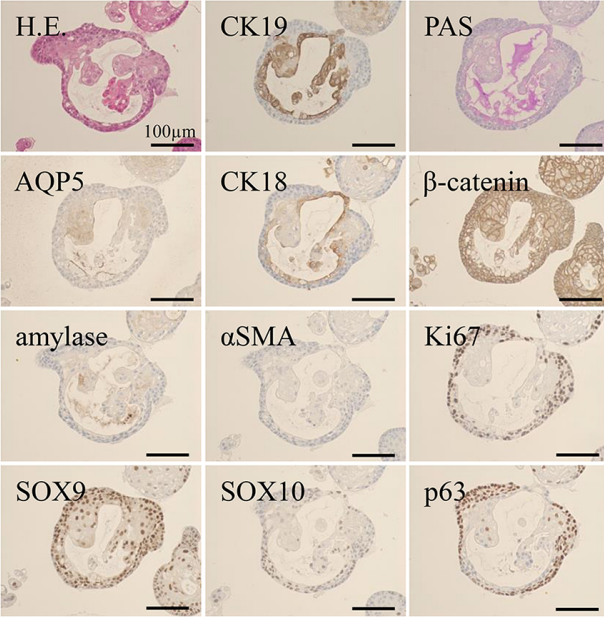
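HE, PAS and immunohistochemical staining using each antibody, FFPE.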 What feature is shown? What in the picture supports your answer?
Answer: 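Organoids. Rounded multicellular bodies in section, each with an inner lumen.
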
